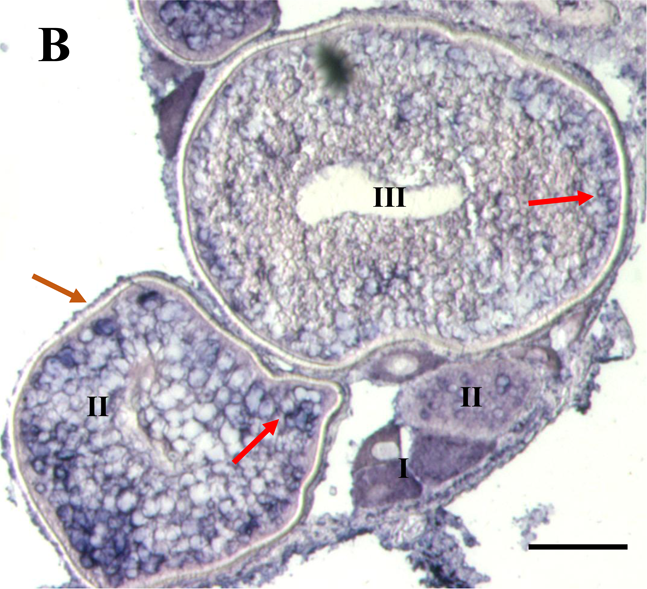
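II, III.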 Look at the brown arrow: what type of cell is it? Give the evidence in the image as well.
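The arrow points to a thin cellular layer lying outside the envelope of a large oocyte.
Conclusion: follicle cells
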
